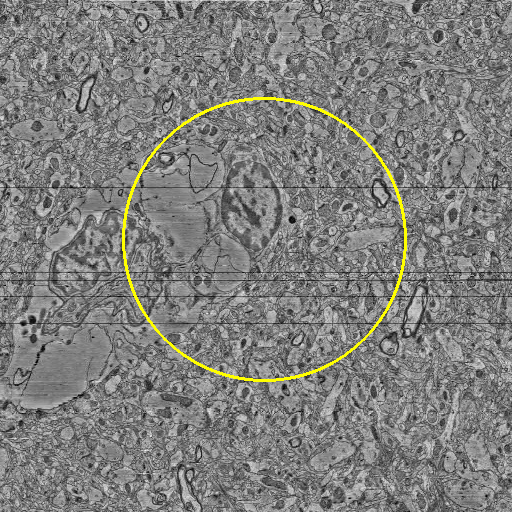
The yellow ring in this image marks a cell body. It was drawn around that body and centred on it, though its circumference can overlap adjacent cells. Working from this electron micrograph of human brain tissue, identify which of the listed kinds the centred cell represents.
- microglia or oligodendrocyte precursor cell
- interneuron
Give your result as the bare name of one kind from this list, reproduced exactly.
microglia or oligodendrocyte precursor cell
